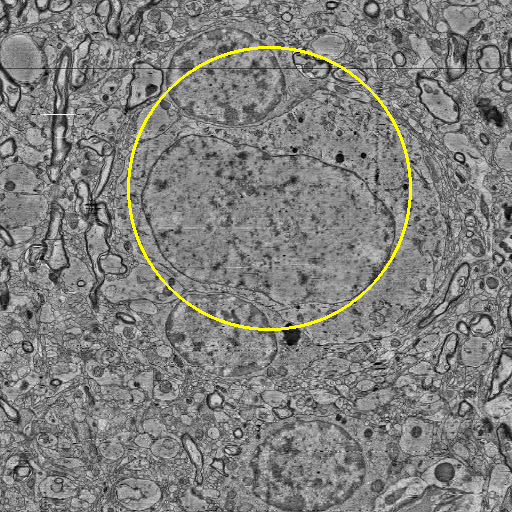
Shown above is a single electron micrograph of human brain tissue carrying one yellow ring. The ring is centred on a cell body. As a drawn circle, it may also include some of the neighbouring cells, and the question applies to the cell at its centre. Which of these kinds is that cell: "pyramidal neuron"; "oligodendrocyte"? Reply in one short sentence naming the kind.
The cell marked by the ring is a pyramidal neuron.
